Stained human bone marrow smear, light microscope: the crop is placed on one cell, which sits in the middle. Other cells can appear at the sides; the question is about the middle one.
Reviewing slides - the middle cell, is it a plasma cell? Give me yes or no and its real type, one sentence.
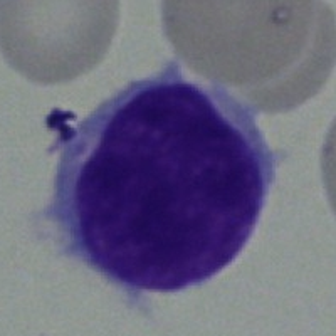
No, the central cell is not a plasma cell, being instead a lymphocyte.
